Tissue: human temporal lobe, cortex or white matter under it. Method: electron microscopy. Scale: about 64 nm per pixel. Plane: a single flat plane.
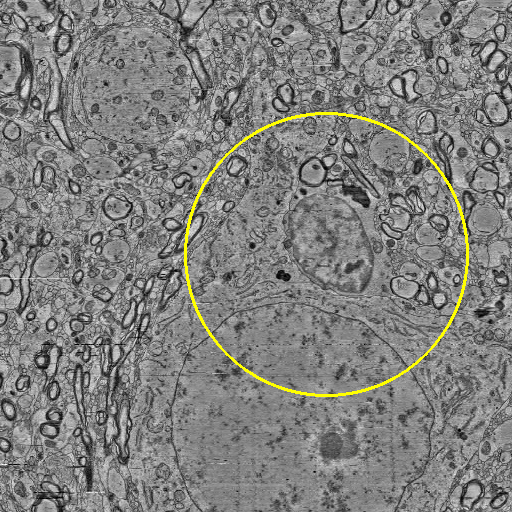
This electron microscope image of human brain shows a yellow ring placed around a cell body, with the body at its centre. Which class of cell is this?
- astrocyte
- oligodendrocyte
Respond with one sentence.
The cell body at the ring's centre is an oligodendrocyte.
